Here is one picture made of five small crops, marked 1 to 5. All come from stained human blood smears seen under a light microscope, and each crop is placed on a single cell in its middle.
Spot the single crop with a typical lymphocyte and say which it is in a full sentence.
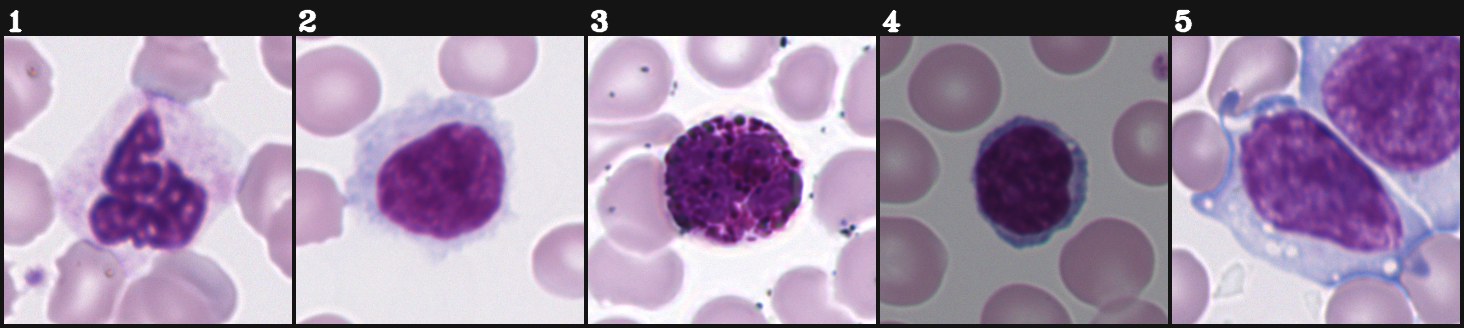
It is crop 4, not any other, that shows a typical lymphocyte.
